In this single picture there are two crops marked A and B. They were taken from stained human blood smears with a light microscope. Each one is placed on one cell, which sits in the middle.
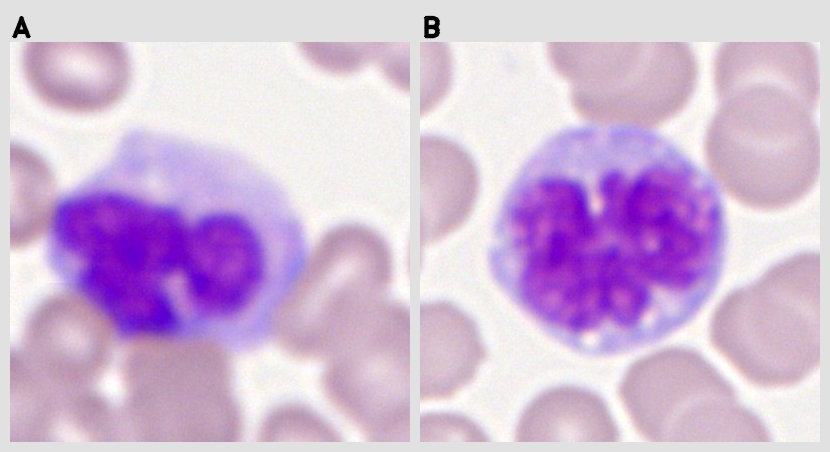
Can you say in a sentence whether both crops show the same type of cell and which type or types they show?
Yes, the same answer goes for both crops, namely monocytes.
